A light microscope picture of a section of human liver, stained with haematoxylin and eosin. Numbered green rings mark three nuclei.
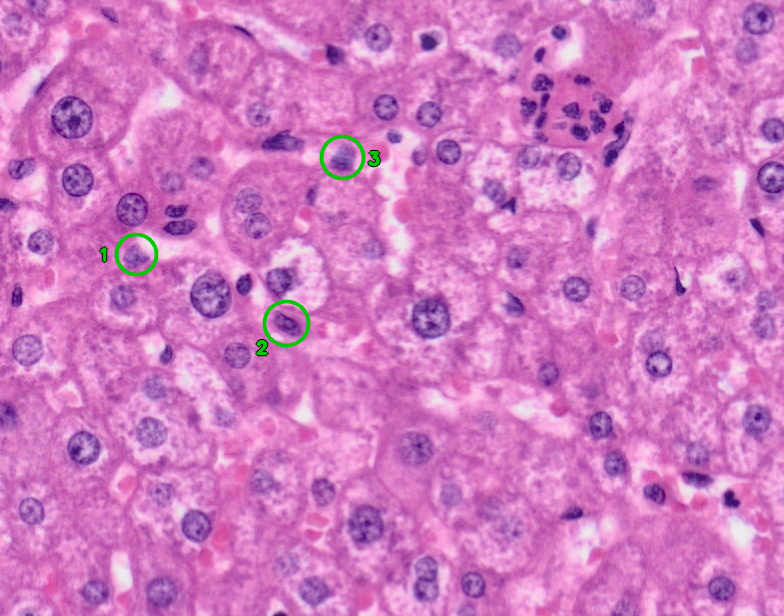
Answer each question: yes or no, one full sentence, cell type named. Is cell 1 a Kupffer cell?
No, in terms of cell type, cell 1 is an endothelial cell, not a Kupffer cell.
